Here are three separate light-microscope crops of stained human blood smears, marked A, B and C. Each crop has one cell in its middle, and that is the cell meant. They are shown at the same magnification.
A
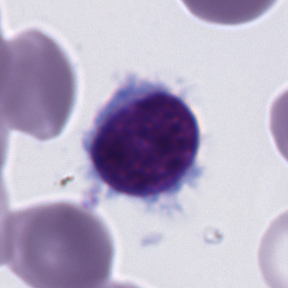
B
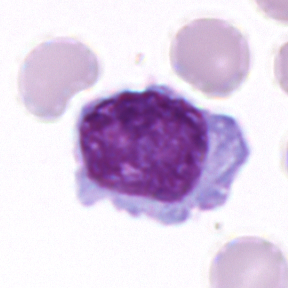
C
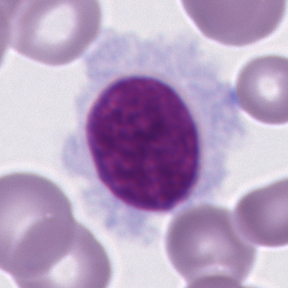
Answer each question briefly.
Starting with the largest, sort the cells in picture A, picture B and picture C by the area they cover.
C, B, A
